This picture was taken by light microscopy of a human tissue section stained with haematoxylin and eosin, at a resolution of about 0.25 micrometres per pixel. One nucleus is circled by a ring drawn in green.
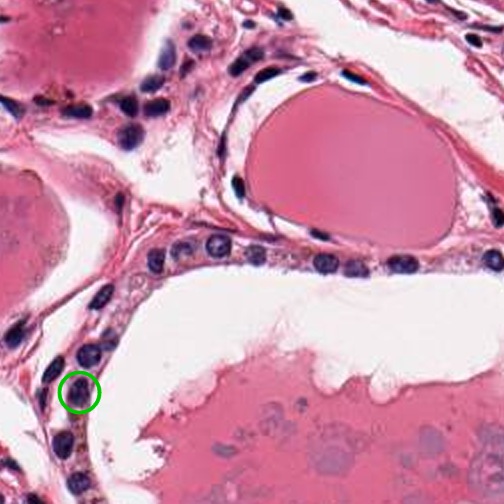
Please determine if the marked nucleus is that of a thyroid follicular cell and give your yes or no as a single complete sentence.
Yes, the marked nucleus is part of a thyroid follicular cell.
